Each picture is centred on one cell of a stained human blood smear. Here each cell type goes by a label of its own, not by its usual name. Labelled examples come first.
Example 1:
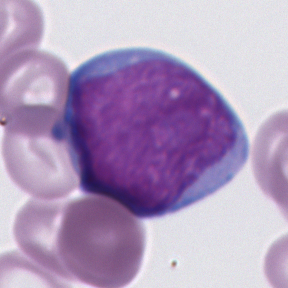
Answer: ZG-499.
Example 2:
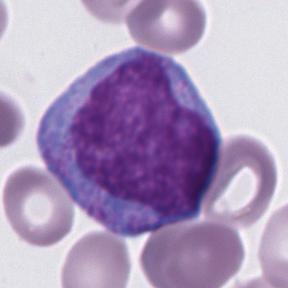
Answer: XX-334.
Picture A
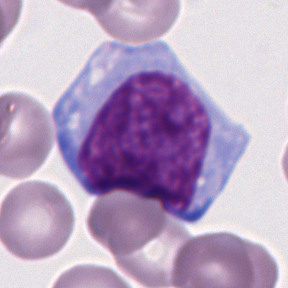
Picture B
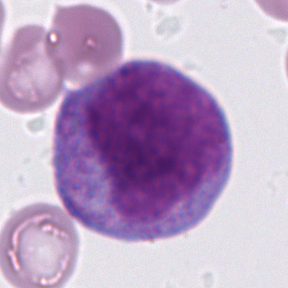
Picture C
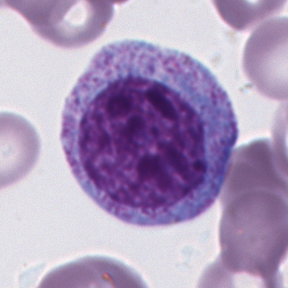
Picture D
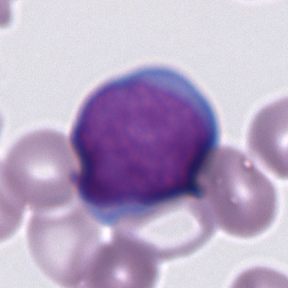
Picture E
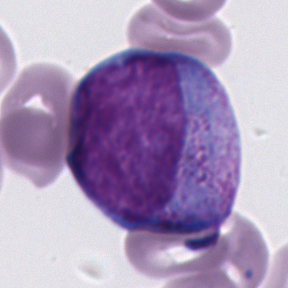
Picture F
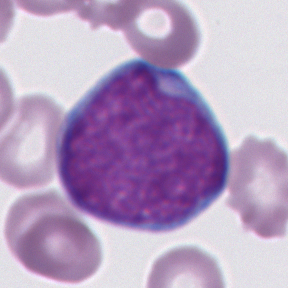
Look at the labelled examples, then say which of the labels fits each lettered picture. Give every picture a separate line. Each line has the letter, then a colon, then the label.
A: ZG-499.
B: XX-334.
C: XX-334.
D: ZG-499.
E: XX-334.
F: ZG-499.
